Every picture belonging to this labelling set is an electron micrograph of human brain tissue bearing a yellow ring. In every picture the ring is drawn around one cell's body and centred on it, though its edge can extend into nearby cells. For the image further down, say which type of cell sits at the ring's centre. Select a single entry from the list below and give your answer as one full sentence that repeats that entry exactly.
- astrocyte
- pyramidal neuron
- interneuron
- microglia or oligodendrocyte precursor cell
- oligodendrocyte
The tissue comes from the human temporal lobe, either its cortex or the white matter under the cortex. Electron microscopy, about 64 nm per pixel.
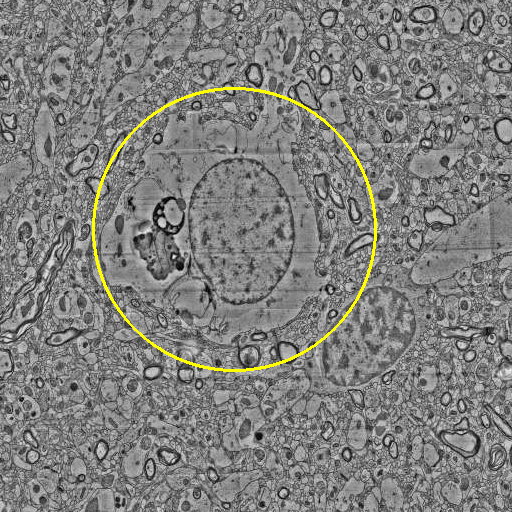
In the picture, an astrocyte is the cell at the centre of the yellow ring.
